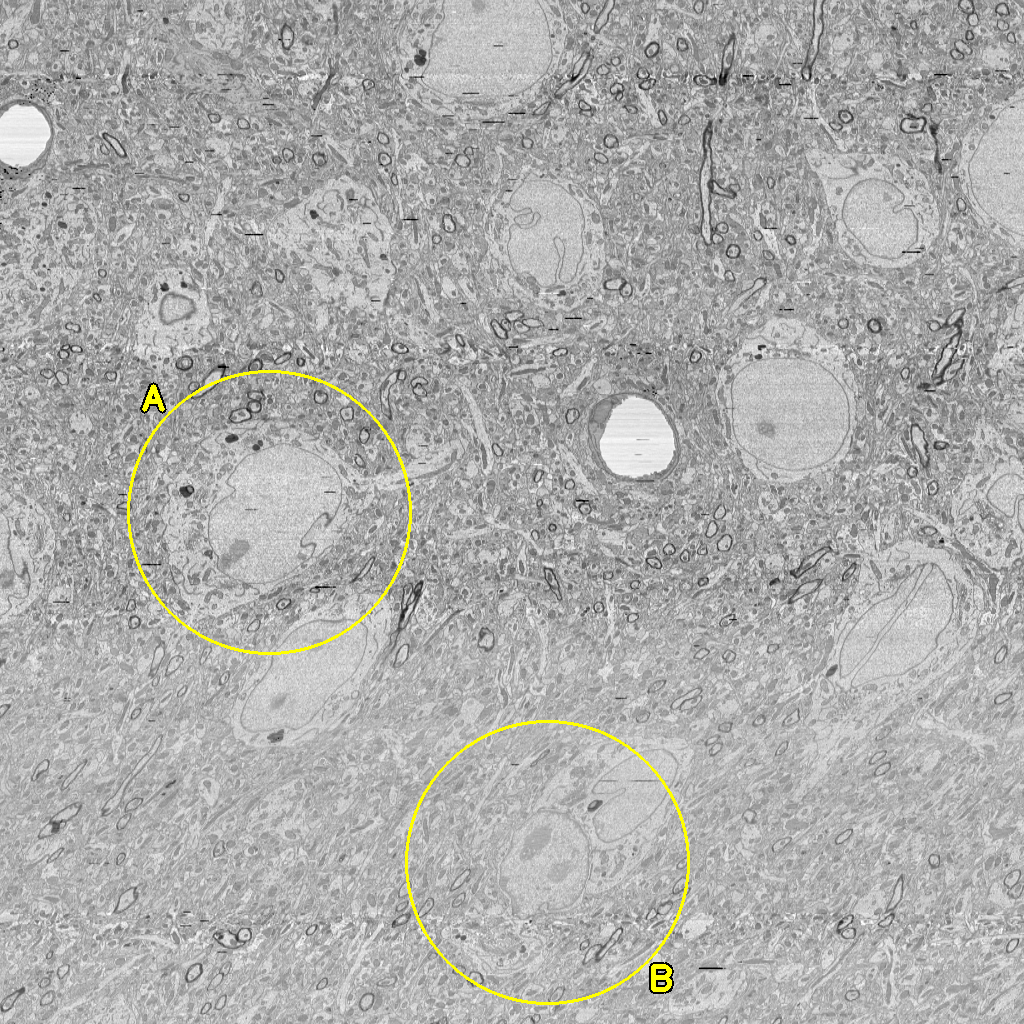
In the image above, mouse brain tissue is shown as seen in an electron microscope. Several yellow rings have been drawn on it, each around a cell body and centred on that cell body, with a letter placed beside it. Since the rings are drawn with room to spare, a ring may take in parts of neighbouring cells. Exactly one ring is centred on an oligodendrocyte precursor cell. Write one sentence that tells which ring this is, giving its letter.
The ring marked B is centred on it.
